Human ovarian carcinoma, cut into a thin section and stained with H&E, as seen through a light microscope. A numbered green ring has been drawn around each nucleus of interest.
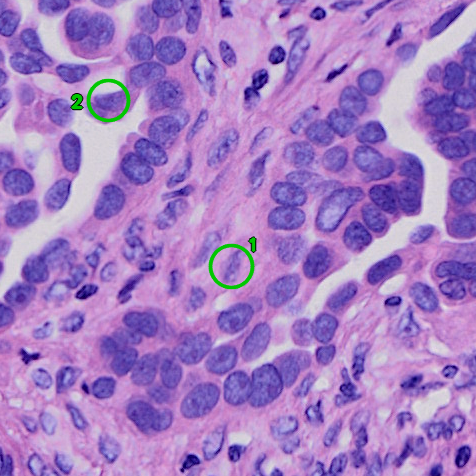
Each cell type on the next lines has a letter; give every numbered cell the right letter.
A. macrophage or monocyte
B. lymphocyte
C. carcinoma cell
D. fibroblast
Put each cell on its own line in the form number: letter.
1: D
2: C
